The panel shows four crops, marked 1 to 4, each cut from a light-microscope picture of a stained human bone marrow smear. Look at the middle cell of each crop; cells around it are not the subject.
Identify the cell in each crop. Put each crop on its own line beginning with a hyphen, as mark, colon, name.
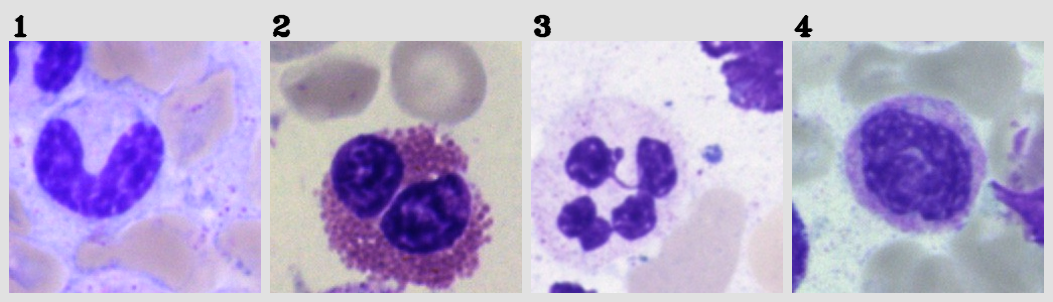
- 1: band neutrophil
- 2: eosinophil
- 3: segmented neutrophil
- 4: segmented neutrophil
